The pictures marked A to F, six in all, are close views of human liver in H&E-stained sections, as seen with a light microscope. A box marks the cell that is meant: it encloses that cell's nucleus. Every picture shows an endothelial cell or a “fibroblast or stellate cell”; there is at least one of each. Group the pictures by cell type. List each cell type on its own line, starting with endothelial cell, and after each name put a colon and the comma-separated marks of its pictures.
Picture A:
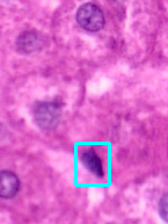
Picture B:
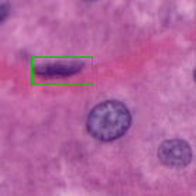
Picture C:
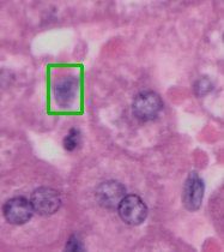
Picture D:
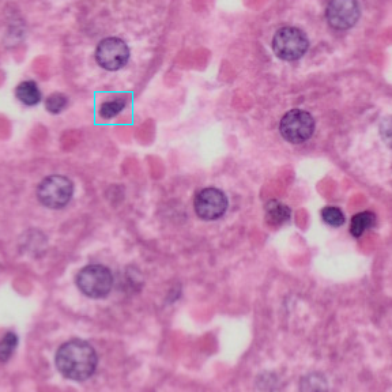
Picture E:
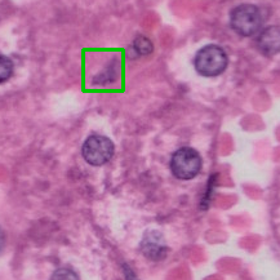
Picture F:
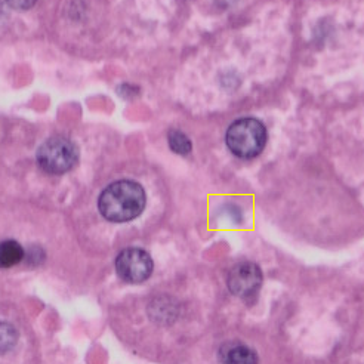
endothelial cell: B, C, E, F
fibroblast or stellate cell: A, D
